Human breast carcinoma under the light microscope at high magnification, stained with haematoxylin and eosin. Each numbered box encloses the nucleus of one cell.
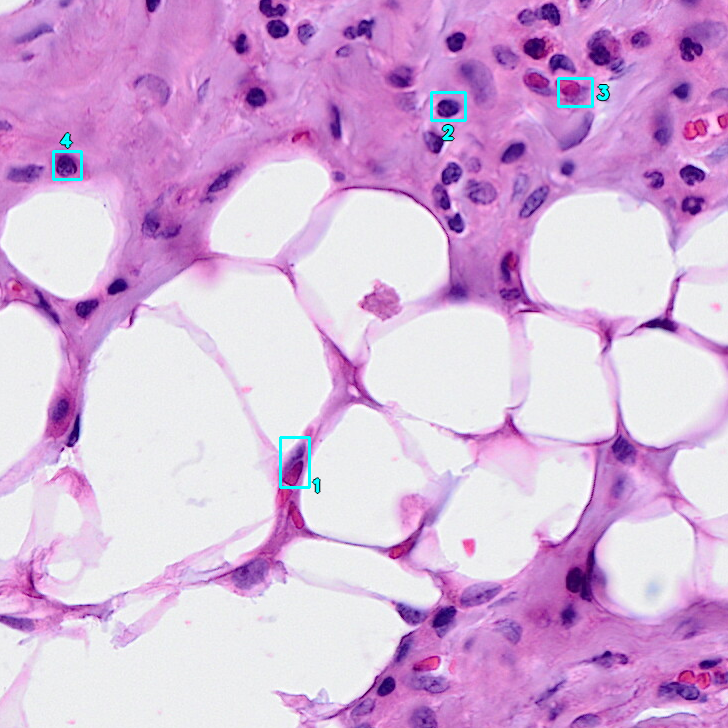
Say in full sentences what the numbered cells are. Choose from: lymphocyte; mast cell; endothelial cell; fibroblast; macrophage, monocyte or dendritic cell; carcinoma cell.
Cell 1 is an endothelial cell, cell 2 is a lymphocyte, cell 3 is an endothelial cell and cell 4 is a mast cell.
